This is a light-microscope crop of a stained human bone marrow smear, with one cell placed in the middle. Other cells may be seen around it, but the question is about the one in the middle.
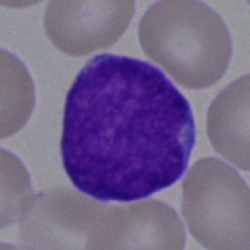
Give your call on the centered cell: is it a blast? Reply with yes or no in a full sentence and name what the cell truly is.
Yes, the cell positioned in the middle is a blast.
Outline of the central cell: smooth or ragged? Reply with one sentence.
Around its whole circumference the outline stays smooth, free of projections.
